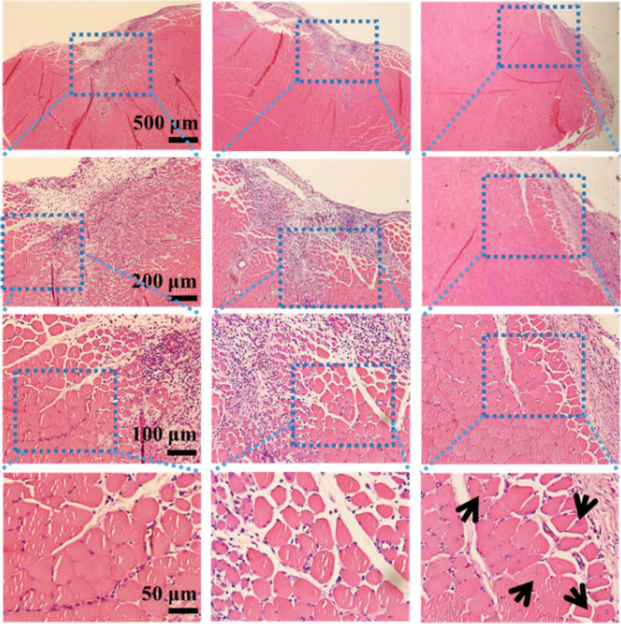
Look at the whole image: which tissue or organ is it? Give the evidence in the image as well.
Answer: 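Densely packed pink, polygonal fibres cut in cross-section. Fibres are separated by thin pale spaces with small dark purple nuclei at their edges. The answer: muscle tissue.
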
